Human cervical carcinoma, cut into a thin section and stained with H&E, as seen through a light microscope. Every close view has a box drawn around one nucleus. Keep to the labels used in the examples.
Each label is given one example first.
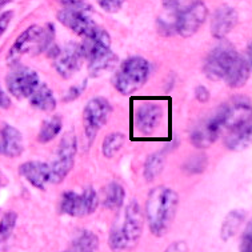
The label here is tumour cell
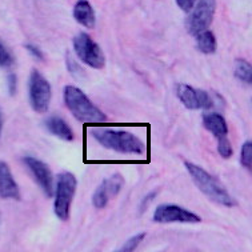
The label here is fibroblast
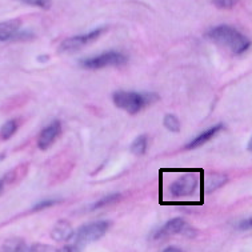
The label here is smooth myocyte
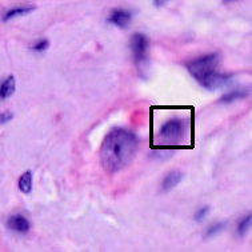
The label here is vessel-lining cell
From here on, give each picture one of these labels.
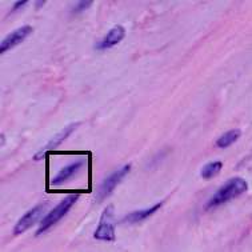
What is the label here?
fibroblast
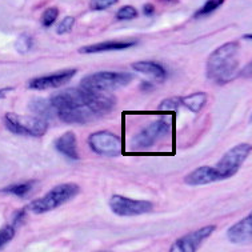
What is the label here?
vessel-lining cell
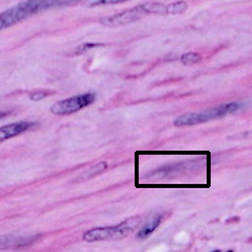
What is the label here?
smooth myocyte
